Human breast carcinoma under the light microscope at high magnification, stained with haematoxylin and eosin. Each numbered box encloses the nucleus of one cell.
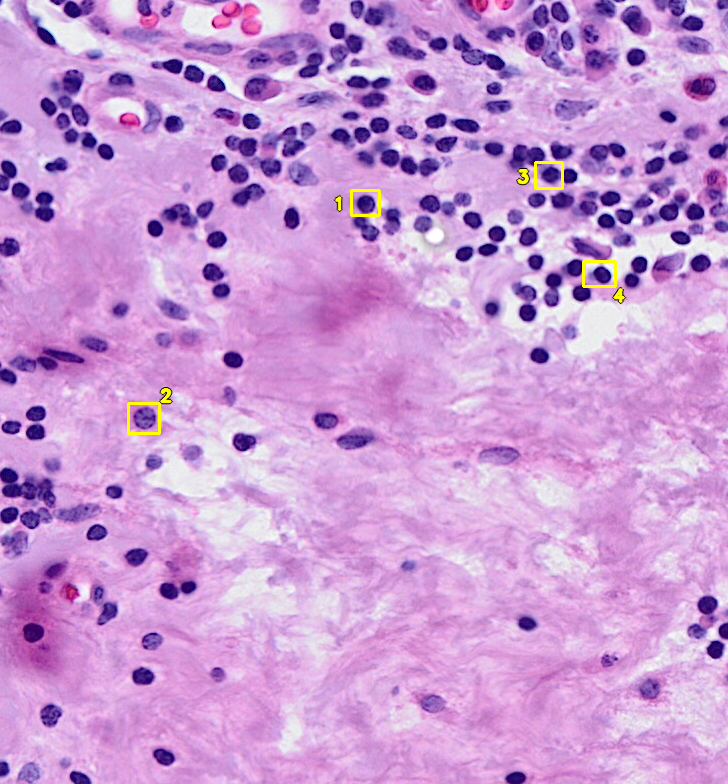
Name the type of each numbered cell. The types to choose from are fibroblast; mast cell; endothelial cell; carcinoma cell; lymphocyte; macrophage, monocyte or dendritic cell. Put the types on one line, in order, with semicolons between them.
lymphocyte; mast cell; lymphocyte; lymphocyte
